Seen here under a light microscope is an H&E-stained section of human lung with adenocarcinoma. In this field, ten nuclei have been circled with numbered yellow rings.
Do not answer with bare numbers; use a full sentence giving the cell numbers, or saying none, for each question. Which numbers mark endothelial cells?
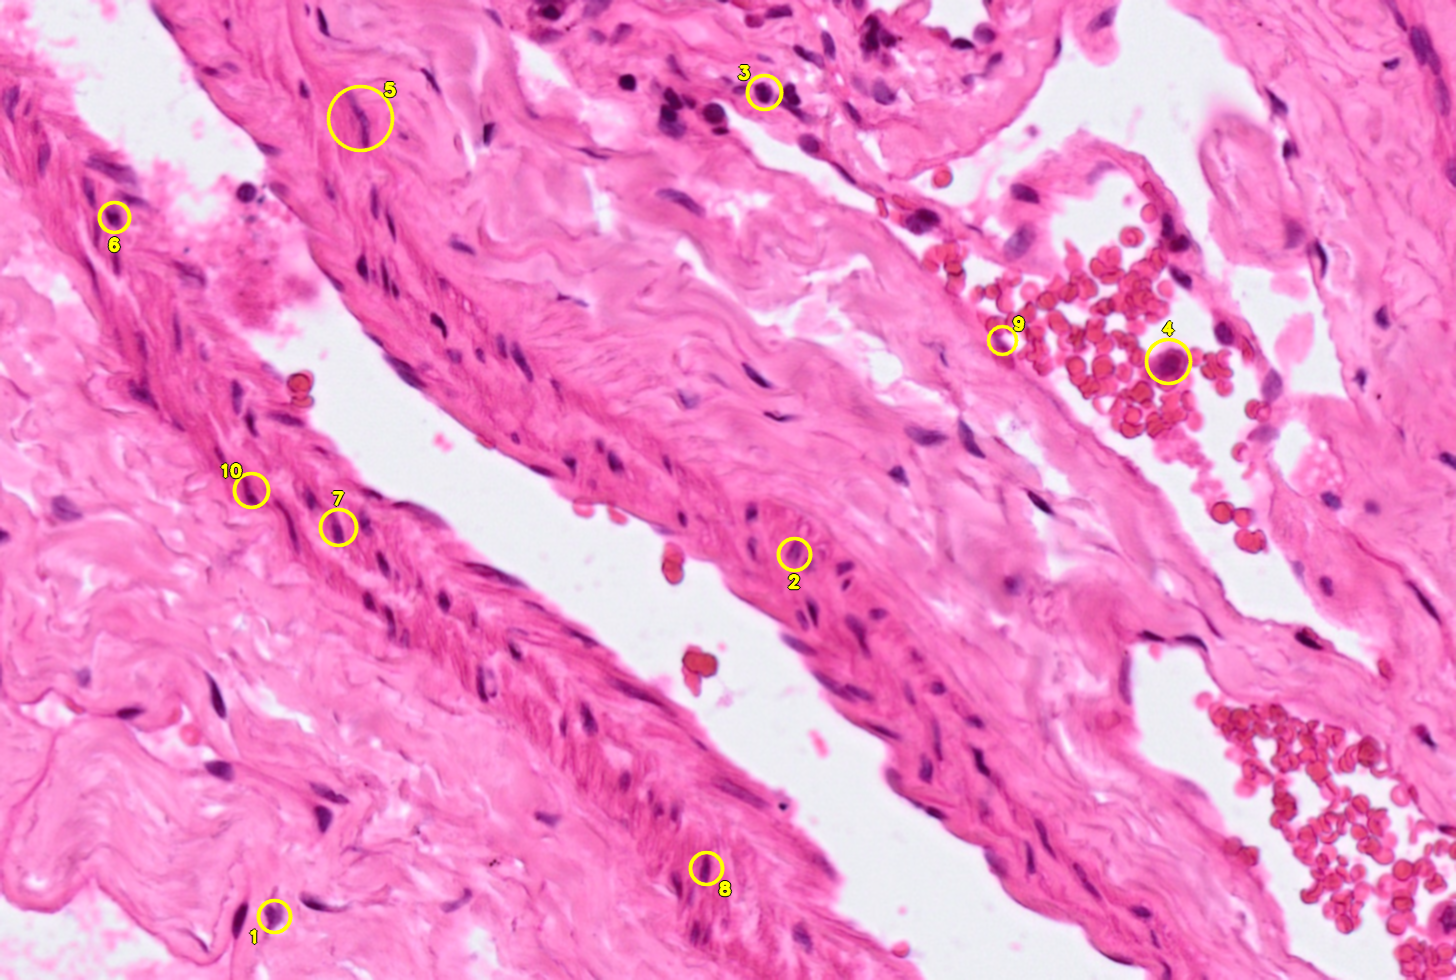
Cell 9 is an endothelial cell and is the only numbered cell of that kind.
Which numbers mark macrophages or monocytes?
It is cell 4, and no other numbered cell, that is a macrophage or monocyte.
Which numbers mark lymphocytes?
Only at number 3 is there a lymphocyte.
